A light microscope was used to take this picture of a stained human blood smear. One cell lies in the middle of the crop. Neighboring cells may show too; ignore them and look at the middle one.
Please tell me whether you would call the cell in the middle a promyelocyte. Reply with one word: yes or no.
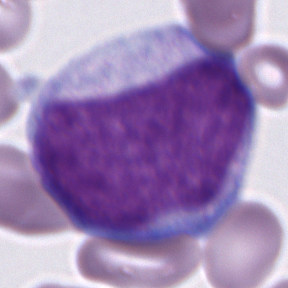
yes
